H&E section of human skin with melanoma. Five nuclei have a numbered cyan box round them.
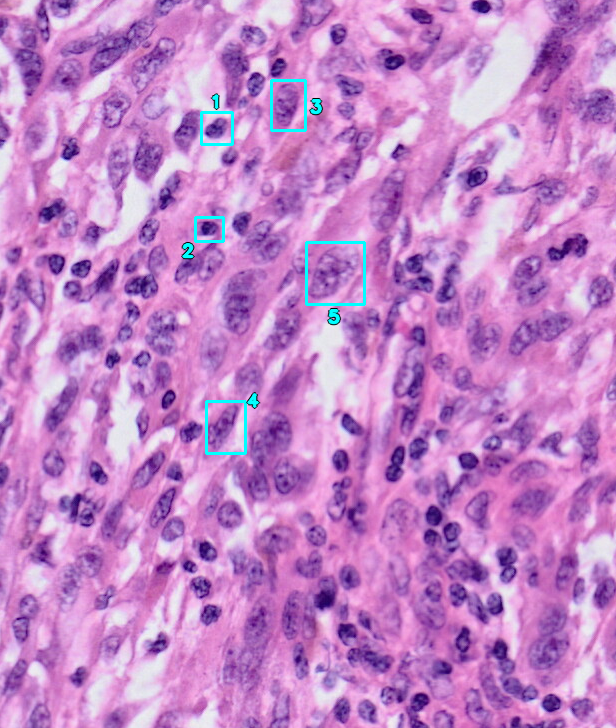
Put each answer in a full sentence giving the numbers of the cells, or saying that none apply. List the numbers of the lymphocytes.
The cells to which the numbers 1 and 2 refer are lymphocytes.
